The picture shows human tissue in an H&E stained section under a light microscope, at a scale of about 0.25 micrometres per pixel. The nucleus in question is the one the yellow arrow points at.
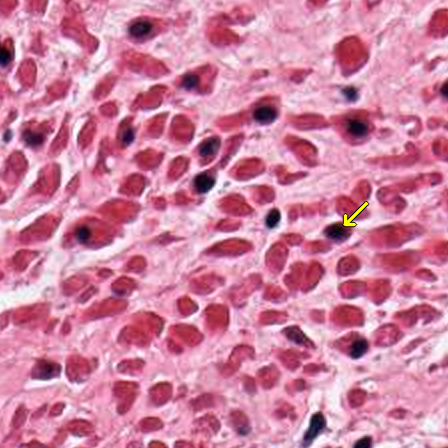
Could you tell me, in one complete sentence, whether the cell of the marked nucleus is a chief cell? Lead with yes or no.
No, it is not a chief cell to which the marked nucleus belongs.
